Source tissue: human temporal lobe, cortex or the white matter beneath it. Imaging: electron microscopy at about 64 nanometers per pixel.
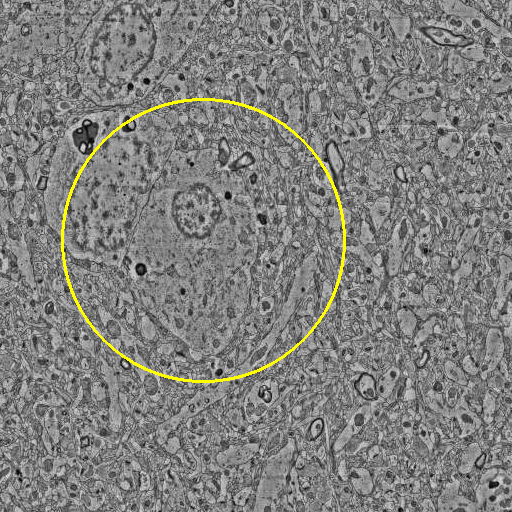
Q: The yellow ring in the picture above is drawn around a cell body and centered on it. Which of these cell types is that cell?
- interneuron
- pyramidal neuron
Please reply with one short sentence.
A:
The cell body at the ring's center belongs to a pyramidal neuron.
